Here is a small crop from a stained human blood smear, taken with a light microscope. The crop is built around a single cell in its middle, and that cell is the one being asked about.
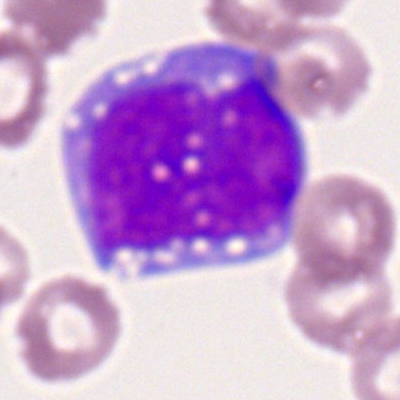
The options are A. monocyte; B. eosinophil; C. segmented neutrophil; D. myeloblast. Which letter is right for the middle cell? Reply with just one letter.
D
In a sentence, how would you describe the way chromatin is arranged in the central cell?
The chromatin remains finely textured, with no coarse clumps to speak of.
